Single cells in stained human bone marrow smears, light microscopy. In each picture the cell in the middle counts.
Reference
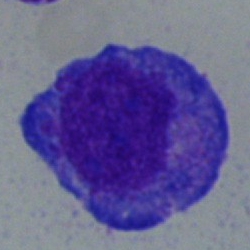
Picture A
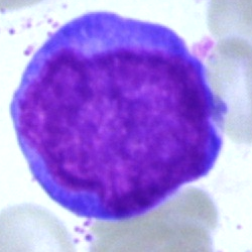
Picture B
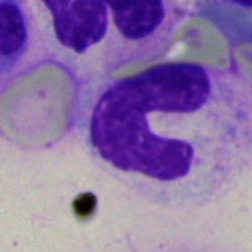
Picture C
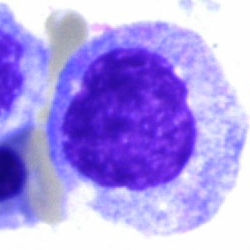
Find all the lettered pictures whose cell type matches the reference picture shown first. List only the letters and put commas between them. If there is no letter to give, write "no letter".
C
